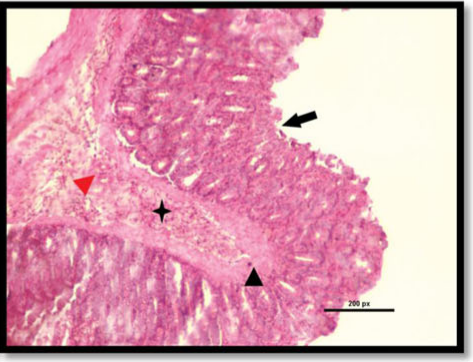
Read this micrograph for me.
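This section of colon shows two mucosal folds whose crypts are largely preserved, appearing as rows of round and tubular glands lined by epithelium with pale goblet cell cytoplasm and purple nuclei. Between the folds runs a pale, loose submucosal band in which scattered small dark nuclei are strewn, more than in normal submucosa. At the upper right, the surface epithelium of the fold appears irregular, with some disruption along its edge.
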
